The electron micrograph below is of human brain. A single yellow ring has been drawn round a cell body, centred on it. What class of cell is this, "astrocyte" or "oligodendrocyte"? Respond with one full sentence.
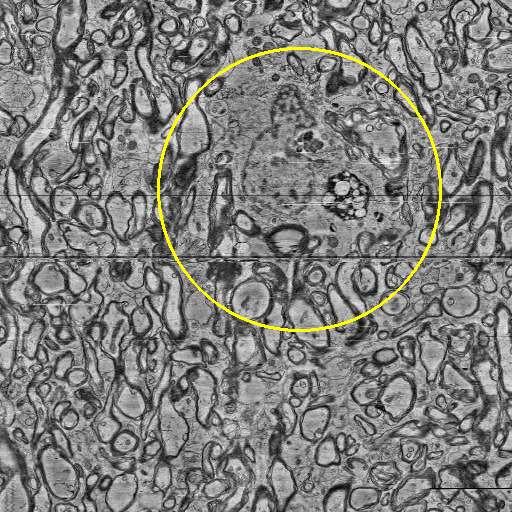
In the micrograph, the cell centred inside the yellow ring is an astrocyte.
